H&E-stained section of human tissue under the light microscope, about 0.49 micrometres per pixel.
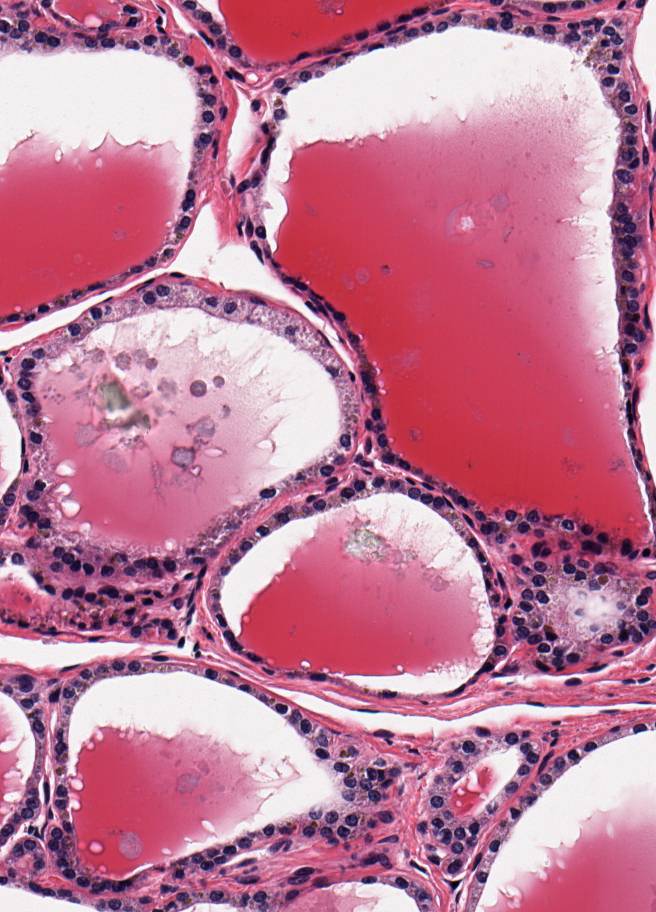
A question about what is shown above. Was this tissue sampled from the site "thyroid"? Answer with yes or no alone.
yes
